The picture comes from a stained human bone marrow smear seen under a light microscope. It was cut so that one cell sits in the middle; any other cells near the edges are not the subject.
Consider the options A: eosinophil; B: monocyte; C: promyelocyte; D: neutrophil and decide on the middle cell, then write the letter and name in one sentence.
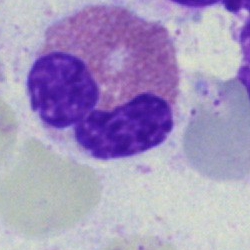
Option A, which names the central cell as an eosinophil, is correct.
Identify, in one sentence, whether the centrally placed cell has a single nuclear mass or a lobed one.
The nucleus is divided into two or more distinct lobes.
